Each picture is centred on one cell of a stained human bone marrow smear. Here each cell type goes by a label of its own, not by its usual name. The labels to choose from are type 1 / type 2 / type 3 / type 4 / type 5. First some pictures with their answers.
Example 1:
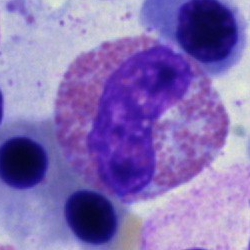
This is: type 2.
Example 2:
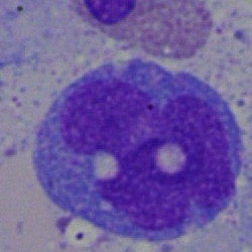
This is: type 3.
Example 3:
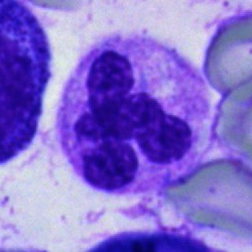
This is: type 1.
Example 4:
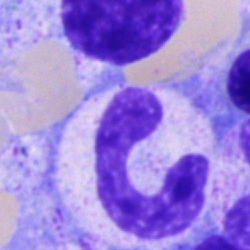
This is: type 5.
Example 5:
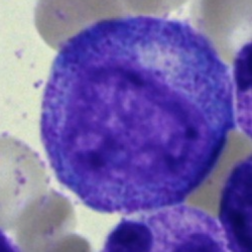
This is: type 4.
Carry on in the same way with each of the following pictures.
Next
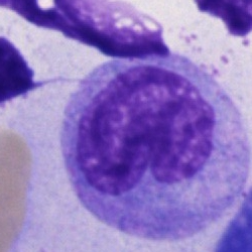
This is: type 3.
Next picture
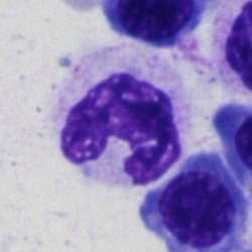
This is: type 5.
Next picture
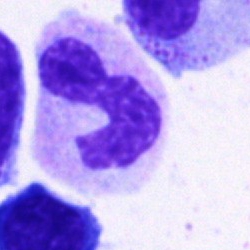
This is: type 5.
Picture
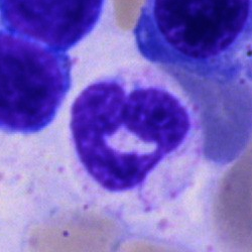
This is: type 1.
